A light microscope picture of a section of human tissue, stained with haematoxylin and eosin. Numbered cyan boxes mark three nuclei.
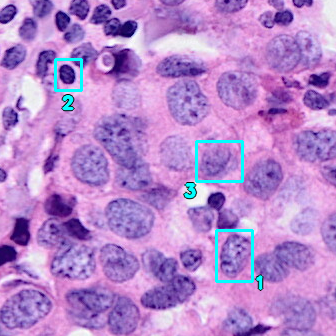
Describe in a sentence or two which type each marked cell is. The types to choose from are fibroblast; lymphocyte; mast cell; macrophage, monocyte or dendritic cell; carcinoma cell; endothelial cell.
Cells 1 and 3 are carcinoma cells. Cell 2 is a lymphocyte.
